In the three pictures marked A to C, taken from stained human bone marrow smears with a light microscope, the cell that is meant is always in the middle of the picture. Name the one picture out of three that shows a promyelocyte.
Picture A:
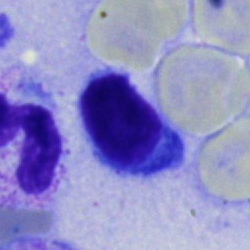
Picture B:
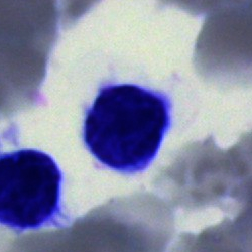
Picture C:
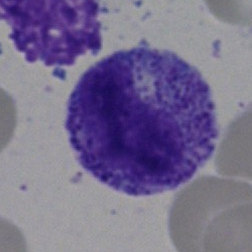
C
